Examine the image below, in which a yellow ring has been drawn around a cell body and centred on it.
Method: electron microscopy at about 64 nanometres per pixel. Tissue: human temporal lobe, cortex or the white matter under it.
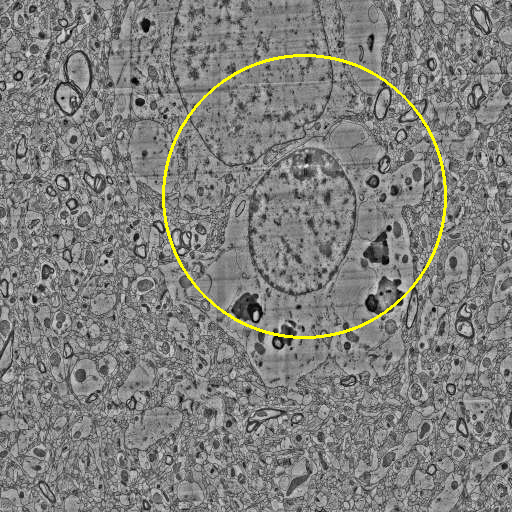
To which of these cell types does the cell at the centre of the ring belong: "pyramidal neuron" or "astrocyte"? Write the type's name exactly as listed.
astrocyte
